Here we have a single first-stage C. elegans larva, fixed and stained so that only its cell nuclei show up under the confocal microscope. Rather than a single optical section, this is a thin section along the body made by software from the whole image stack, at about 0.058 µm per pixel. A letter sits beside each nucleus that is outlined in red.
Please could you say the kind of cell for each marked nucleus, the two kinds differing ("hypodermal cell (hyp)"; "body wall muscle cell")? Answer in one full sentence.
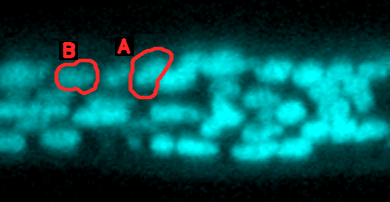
Nucleus A comes from a hypodermal cell (hyp) and nucleus B from a body wall muscle cell.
